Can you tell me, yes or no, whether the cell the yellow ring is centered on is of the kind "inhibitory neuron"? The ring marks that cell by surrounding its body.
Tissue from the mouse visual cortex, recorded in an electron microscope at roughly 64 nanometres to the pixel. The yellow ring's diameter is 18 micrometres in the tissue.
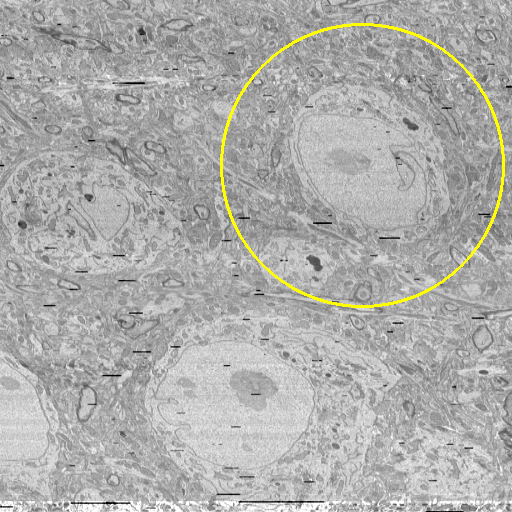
yes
